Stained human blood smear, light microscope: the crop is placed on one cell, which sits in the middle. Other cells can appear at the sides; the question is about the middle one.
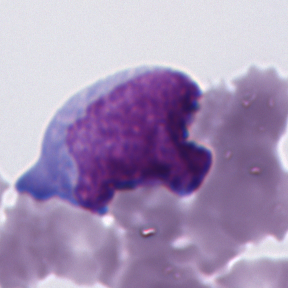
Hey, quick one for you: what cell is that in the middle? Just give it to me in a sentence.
For this crop, the cell in the middle is a myeloblast.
